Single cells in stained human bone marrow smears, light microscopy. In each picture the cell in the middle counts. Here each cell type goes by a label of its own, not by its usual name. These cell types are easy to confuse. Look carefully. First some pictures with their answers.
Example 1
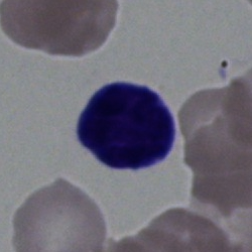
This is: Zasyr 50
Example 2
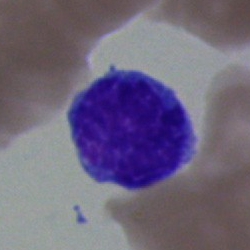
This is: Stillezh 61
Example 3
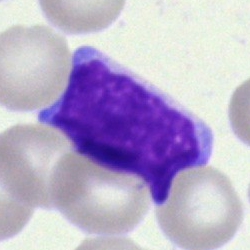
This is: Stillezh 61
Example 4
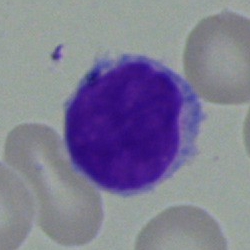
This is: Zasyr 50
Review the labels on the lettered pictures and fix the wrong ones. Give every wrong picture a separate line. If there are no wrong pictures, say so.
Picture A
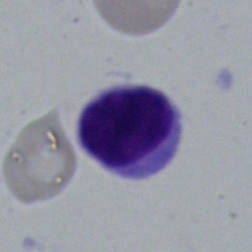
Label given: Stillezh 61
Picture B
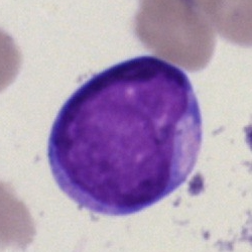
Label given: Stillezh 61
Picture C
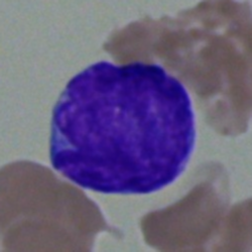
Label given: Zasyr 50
A should be Zasyr 50, not Stillezh 61
C should be Stillezh 61, not Zasyr 50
